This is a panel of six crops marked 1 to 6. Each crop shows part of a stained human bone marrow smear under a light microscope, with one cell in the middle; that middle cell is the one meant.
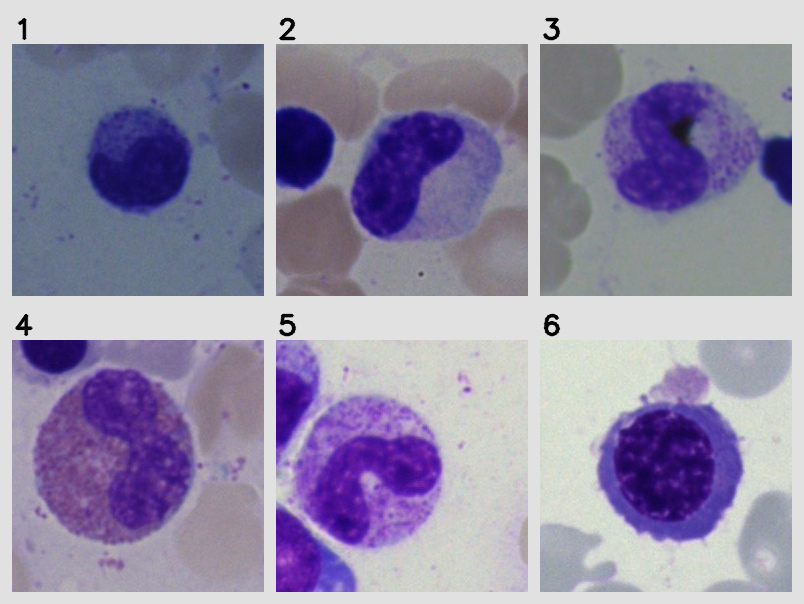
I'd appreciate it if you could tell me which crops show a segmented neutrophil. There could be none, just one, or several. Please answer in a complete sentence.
The middle cell is not a segmented neutrophil in any of the crops.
